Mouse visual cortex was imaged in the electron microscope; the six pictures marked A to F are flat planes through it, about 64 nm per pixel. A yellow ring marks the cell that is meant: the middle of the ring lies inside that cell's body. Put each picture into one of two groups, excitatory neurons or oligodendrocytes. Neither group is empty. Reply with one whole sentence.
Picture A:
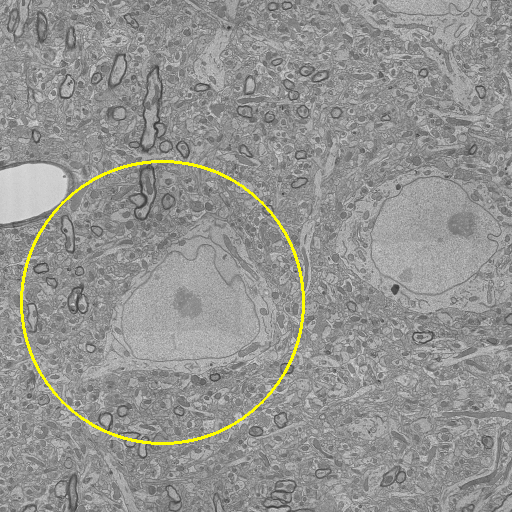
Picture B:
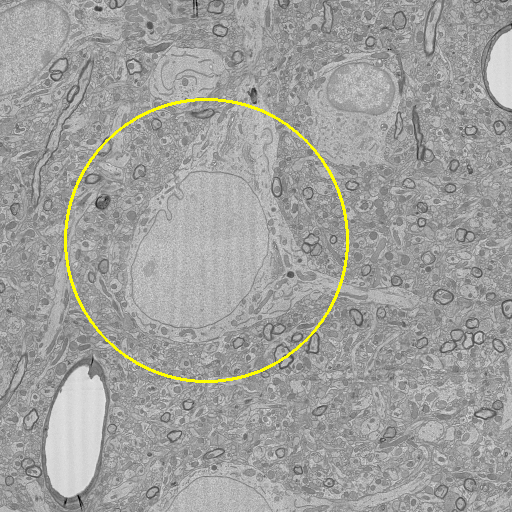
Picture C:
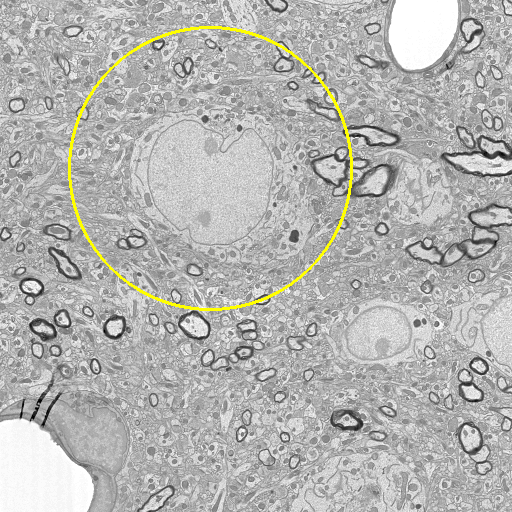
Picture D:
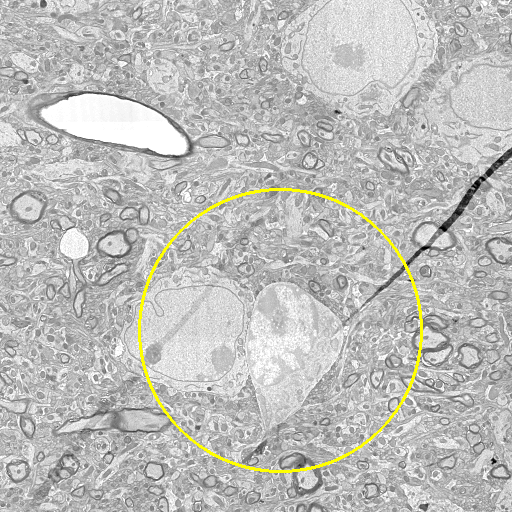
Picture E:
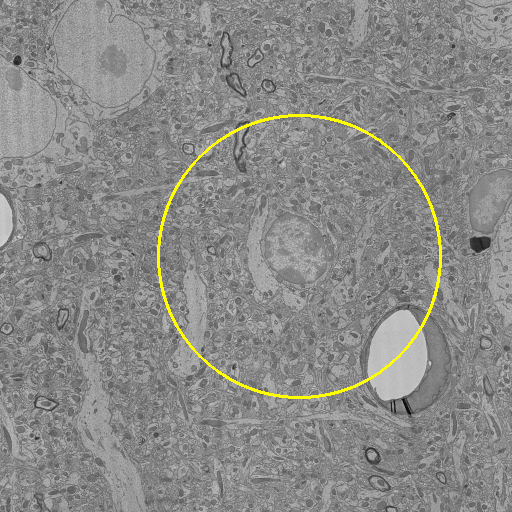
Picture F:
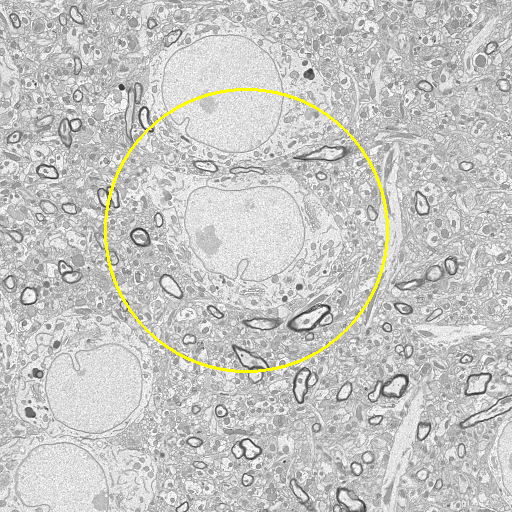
Pictures A, B, C and F show excitatory neurons, and pictures D and E show oligodendrocytes.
